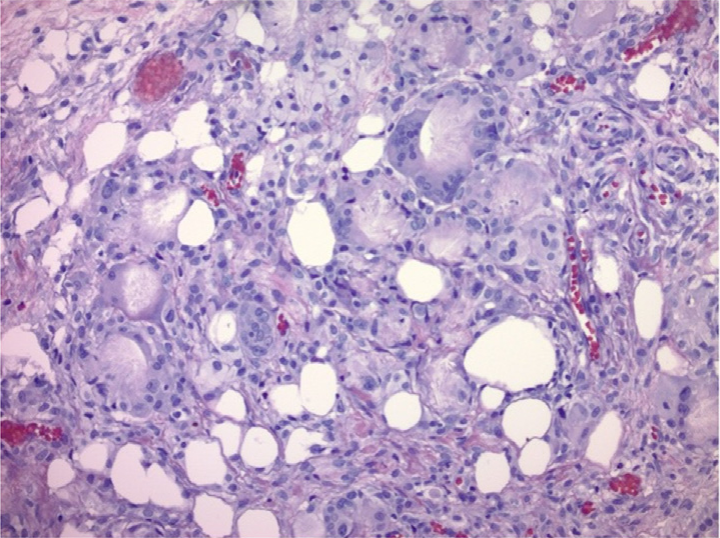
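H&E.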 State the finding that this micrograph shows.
Granulomatous inflammation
